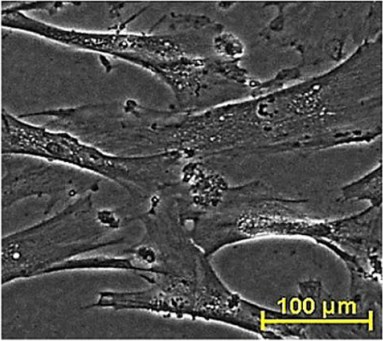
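A few thin strands and processes stretch between neighbouring cells. Small granular bodies and rounded bright structures lie scattered over the cytoplasm in places. Compared with a dense culture, much of the field is taken up by only a few very flattened cells.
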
